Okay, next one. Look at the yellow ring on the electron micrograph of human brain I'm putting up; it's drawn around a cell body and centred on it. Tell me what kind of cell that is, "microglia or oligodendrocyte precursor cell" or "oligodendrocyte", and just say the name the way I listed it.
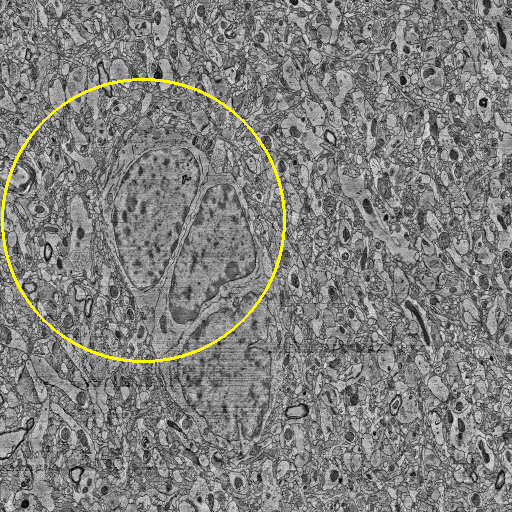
microglia or oligodendrocyte precursor cell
